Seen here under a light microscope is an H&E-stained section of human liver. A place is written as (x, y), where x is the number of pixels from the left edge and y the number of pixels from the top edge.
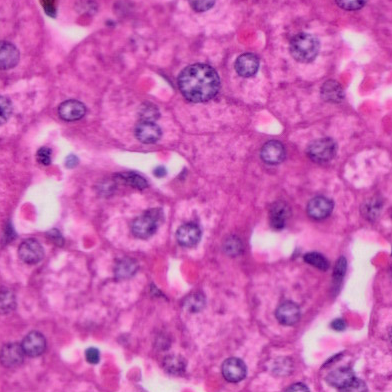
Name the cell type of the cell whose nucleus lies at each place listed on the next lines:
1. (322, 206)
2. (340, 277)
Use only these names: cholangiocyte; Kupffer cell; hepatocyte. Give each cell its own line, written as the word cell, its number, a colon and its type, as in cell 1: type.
cell 1: hepatocyte
cell 2: Kupffer cell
